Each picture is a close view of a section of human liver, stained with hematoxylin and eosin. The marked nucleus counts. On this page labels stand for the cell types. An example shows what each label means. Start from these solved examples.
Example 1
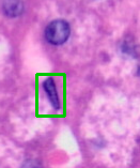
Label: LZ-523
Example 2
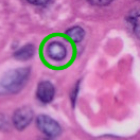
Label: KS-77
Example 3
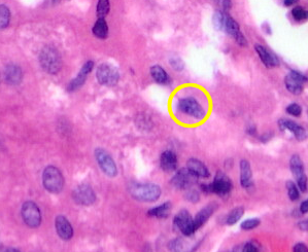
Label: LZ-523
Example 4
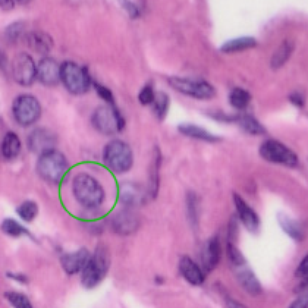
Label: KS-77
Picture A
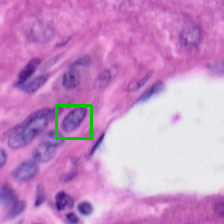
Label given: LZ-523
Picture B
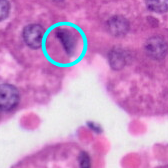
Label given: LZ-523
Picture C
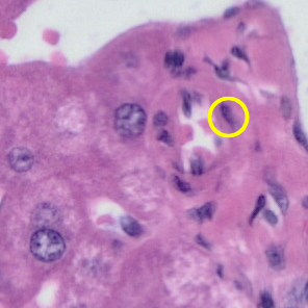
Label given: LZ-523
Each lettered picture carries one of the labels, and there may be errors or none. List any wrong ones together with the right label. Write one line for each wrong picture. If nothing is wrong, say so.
A: KS-77, not LZ-523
